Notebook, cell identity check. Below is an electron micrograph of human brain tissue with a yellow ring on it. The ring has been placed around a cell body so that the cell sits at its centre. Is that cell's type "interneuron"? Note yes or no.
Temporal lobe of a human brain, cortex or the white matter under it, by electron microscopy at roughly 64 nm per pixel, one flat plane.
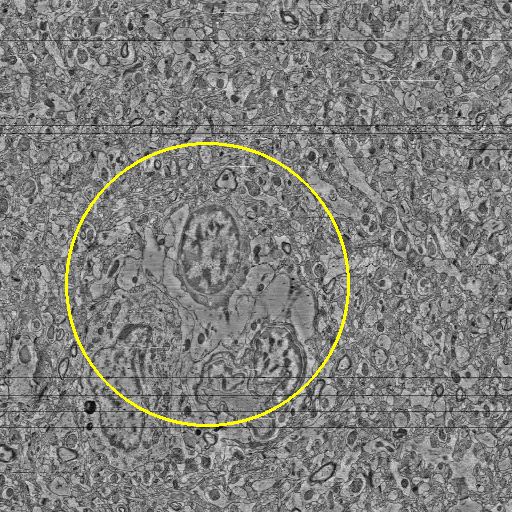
No, its cell type is another one.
